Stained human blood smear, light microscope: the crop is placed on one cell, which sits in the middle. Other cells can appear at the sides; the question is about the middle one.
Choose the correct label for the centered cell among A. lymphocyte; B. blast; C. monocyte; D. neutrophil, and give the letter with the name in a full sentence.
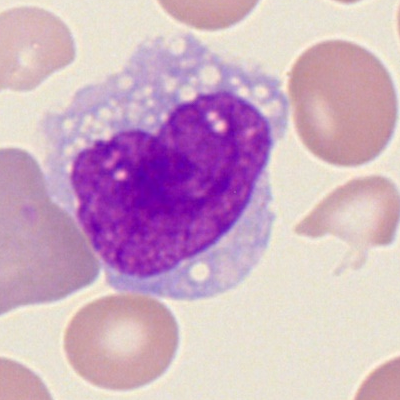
That cell in the center is a monocyte, hence option C.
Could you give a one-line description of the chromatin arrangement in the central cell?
The chromatin pattern is fine and free of coarse clumps.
